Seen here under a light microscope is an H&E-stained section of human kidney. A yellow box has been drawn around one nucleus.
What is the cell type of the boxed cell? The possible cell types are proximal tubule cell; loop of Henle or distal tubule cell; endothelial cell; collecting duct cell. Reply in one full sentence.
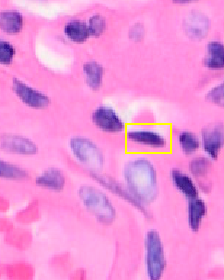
The category to which the boxed cell belongs is that of an endothelial cell.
